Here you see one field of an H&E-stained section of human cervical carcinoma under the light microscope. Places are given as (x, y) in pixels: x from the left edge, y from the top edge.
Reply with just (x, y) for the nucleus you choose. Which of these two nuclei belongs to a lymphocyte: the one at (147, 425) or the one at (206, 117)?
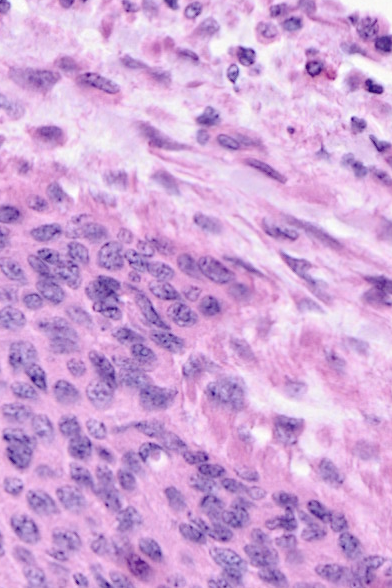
(206, 117)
